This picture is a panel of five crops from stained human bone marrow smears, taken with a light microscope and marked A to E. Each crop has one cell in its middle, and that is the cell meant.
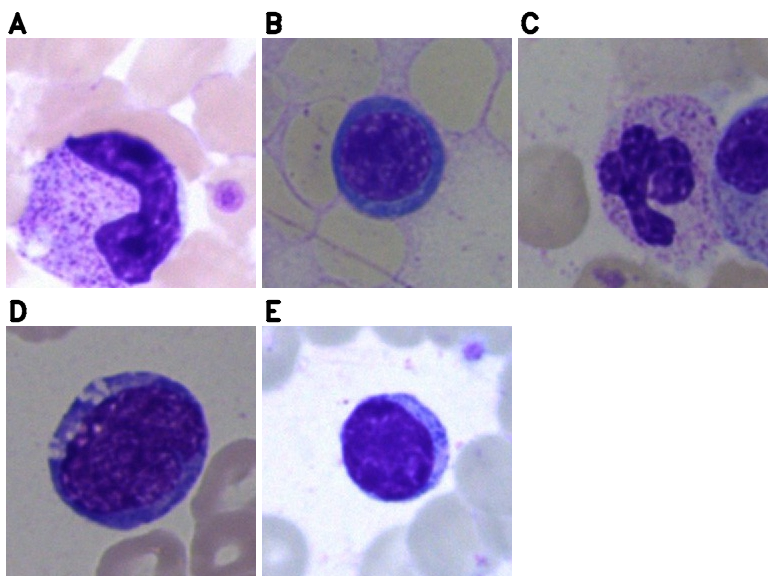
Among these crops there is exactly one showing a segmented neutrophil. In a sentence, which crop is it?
The crop bearing a segmented neutrophil is crop C.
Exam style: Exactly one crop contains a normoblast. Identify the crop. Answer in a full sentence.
Among the crops given, only crop B shows a normoblast.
